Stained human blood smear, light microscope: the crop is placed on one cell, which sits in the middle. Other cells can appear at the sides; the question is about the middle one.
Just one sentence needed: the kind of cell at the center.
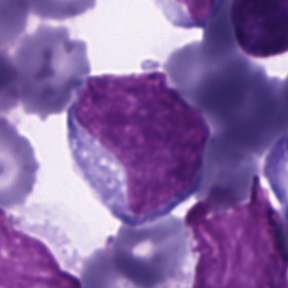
The cell centred in this crop is categorized as a myeloblast.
